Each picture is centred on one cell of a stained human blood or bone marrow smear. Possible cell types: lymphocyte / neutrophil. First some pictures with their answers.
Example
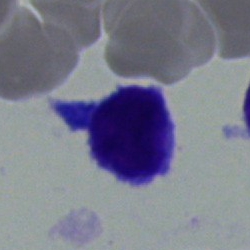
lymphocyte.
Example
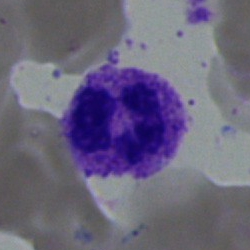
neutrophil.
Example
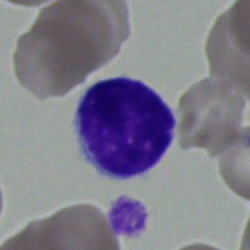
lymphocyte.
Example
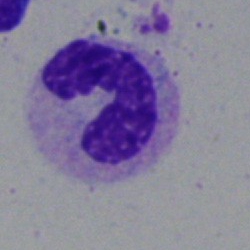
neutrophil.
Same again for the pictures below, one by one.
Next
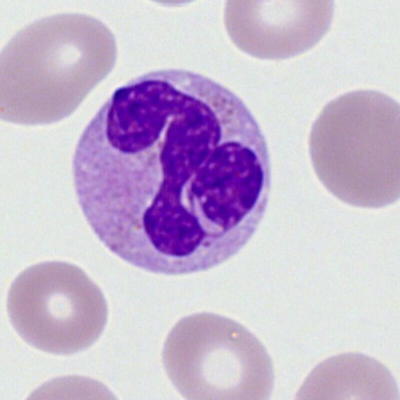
neutrophil.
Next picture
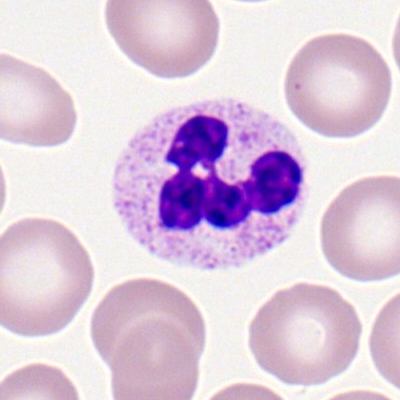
neutrophil.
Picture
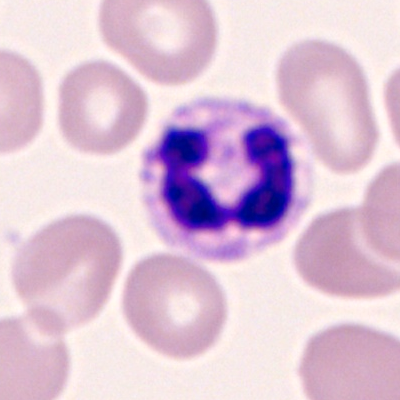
neutrophil.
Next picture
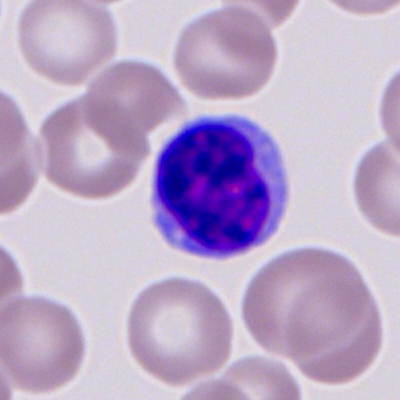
lymphocyte.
